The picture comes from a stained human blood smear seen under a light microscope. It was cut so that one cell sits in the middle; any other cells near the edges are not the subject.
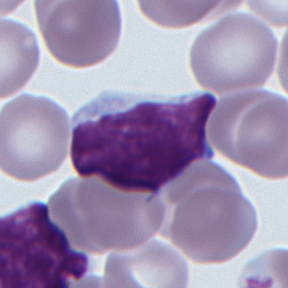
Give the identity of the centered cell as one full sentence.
The middle position in this crop is taken by a lymphocyte.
